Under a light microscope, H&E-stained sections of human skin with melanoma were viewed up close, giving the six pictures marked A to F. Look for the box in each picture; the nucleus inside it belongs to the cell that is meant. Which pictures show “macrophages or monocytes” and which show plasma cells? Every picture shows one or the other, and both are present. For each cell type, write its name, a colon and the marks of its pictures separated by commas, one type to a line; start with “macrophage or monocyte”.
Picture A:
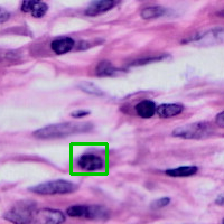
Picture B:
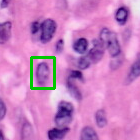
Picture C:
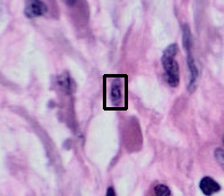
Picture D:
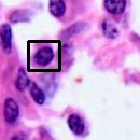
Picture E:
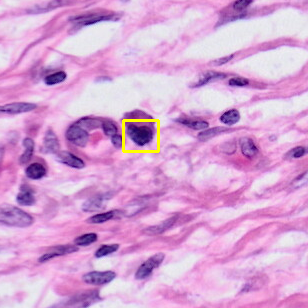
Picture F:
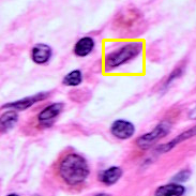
macrophage or monocyte: B, C, F
plasma cell: A, D, E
